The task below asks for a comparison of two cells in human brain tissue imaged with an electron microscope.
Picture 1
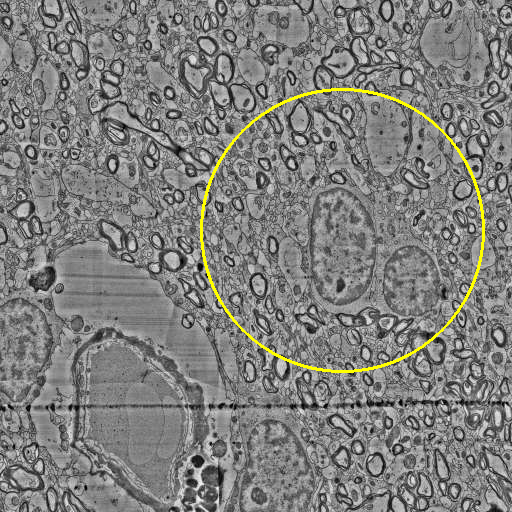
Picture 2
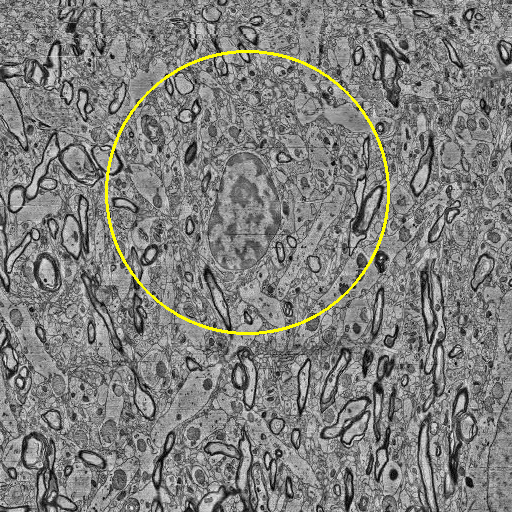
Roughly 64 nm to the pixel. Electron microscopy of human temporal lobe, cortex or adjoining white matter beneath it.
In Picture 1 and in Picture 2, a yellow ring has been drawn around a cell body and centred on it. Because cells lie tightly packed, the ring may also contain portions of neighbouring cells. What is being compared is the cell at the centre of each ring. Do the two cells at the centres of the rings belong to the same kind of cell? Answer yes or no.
no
